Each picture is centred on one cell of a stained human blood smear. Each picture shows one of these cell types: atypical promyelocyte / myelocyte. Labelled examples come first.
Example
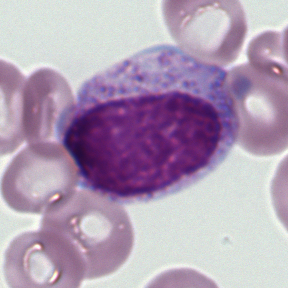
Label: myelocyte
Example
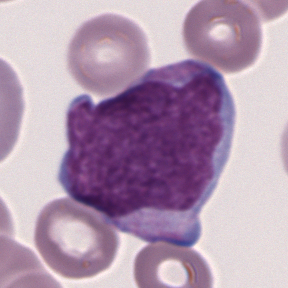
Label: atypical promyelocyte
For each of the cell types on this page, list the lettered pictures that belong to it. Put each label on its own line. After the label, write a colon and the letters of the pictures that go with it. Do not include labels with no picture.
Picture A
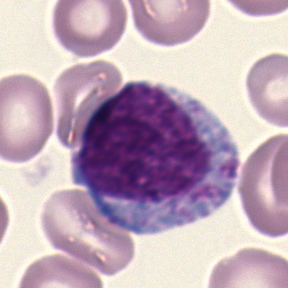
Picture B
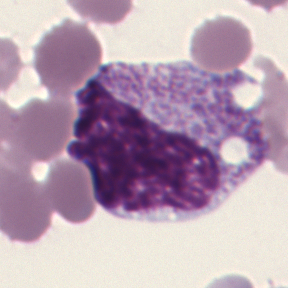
myelocyte: A, B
